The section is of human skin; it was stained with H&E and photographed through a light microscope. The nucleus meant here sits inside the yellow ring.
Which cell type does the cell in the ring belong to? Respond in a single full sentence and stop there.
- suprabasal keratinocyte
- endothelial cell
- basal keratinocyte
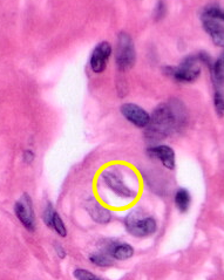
To be brief about it, the cell in the ring is an endothelial cell.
